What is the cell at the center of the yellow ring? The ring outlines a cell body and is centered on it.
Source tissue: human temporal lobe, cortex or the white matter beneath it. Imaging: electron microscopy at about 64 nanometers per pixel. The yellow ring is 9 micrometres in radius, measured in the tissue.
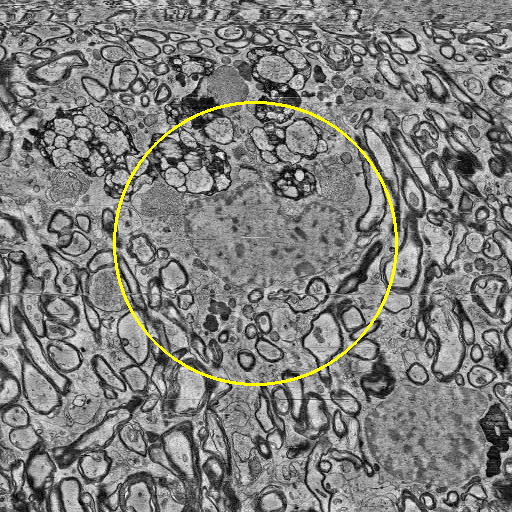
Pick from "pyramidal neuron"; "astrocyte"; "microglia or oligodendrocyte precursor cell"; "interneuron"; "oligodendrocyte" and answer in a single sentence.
The yellow ring is centered on an astrocyte.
